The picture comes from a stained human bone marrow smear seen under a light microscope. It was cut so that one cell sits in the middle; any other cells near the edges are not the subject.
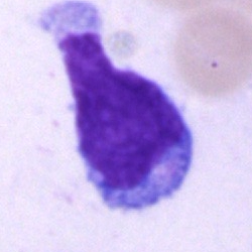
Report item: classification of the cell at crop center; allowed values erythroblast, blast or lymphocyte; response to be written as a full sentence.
What the crop centres on is a blast.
